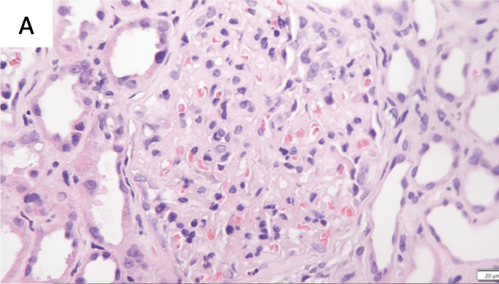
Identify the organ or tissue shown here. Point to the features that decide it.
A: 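A rounded tuft of capillary loops containing red blood cells sits in the centre. The tuft is surrounded by cross-sections of tubules with cuboidal epithelium.
Glomerulus.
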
